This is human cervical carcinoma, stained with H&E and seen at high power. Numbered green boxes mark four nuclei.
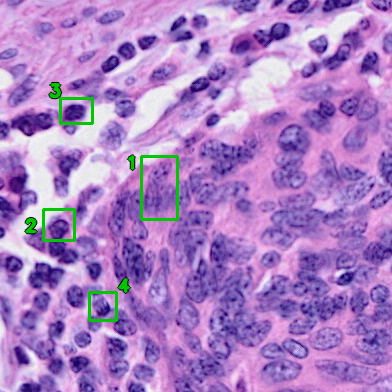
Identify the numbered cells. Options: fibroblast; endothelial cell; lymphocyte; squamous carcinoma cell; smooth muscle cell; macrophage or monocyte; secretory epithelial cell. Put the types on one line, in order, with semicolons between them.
squamous carcinoma cell; lymphocyte; lymphocyte; lymphocyte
